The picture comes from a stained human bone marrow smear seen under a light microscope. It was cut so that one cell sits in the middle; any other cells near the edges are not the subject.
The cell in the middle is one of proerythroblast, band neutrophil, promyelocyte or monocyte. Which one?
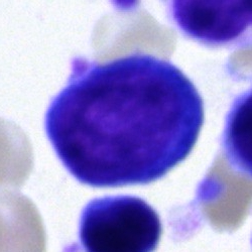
proerythroblast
